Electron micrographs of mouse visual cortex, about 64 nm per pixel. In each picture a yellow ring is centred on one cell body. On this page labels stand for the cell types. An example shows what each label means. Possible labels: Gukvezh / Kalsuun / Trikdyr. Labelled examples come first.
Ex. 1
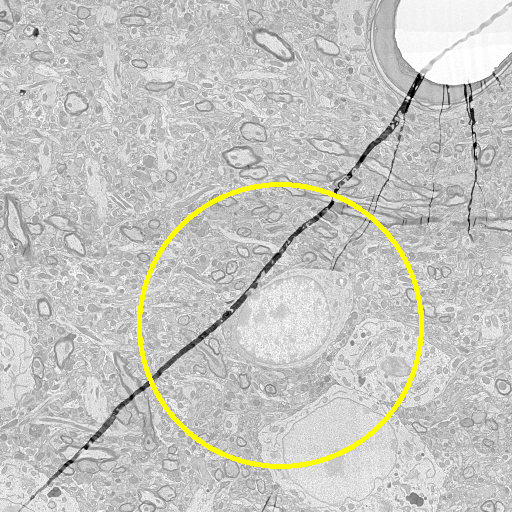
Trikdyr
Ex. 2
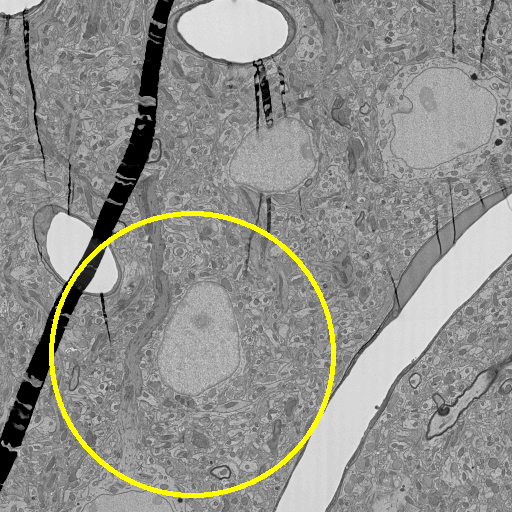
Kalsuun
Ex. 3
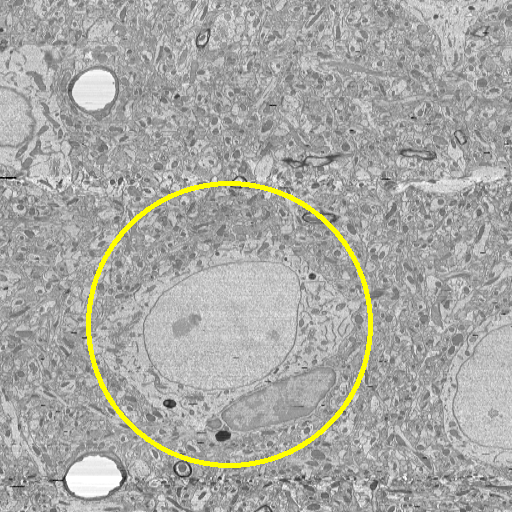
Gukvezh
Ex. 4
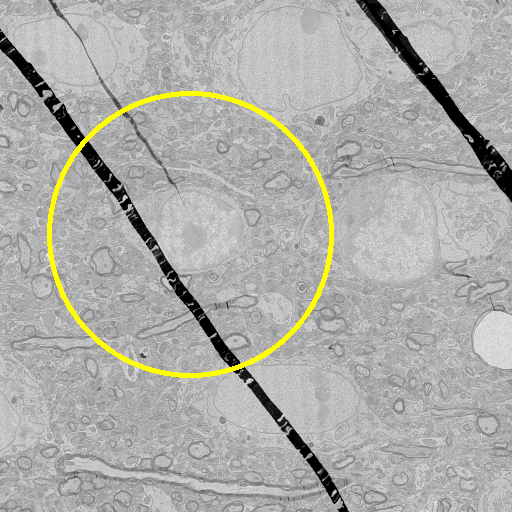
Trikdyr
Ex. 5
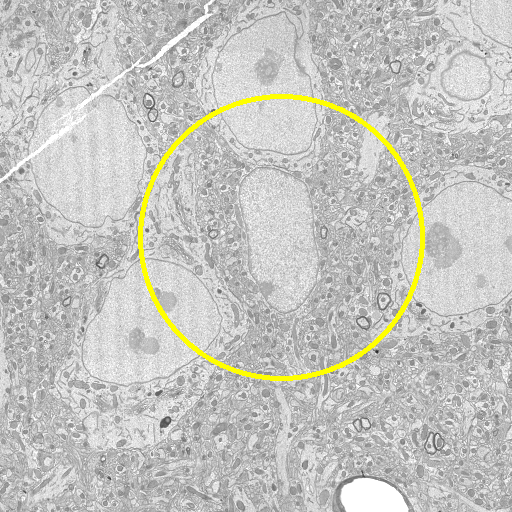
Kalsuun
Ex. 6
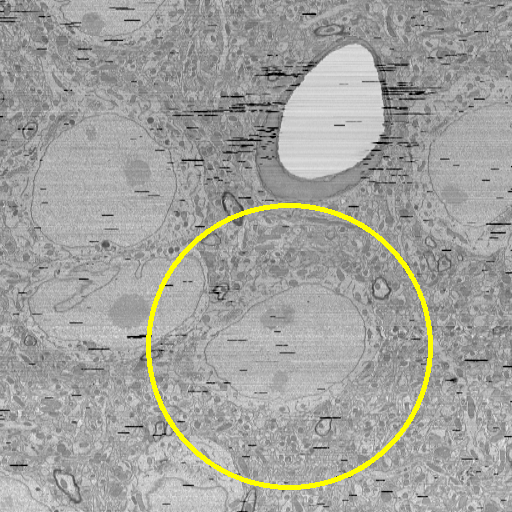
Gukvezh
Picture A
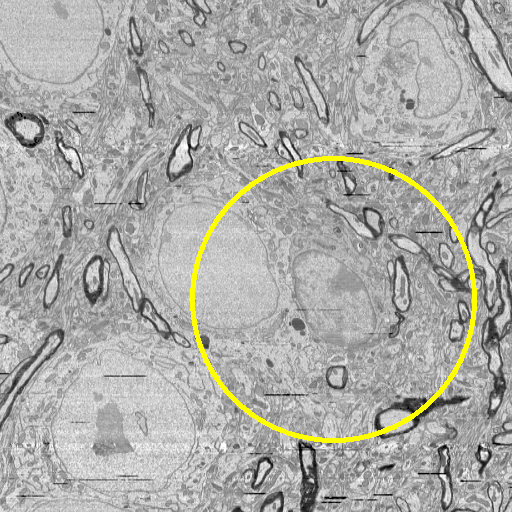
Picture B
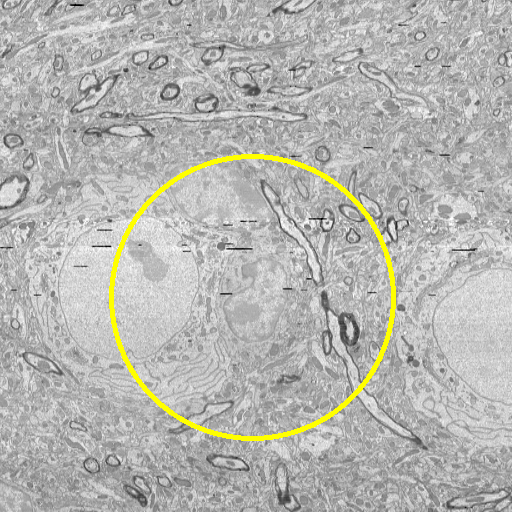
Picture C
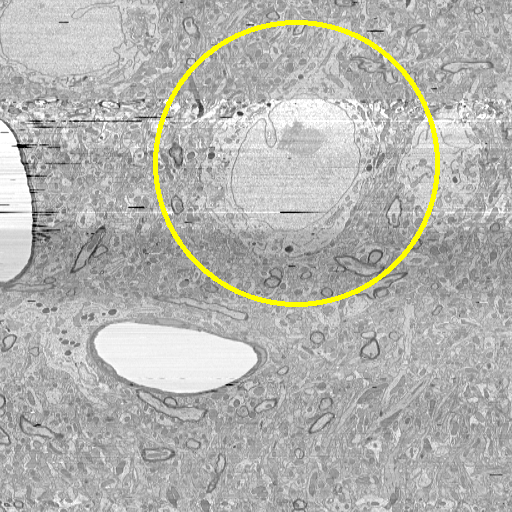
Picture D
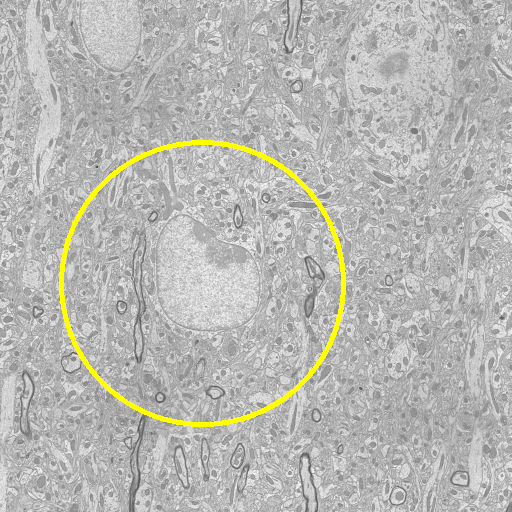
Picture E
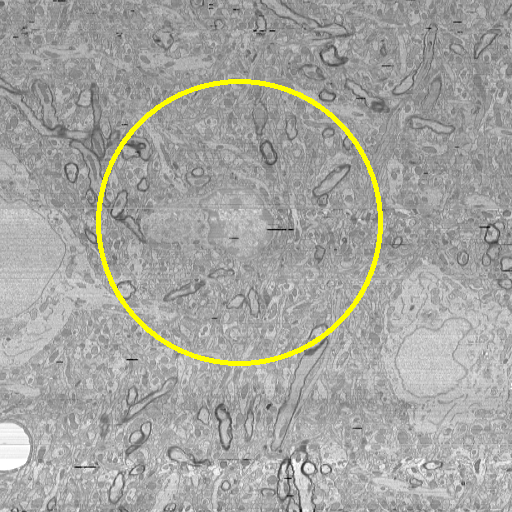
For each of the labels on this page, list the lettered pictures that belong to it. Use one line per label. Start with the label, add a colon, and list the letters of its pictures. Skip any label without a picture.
Gukvezh: C
Kalsuun: D
Trikdyr: A, B, E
